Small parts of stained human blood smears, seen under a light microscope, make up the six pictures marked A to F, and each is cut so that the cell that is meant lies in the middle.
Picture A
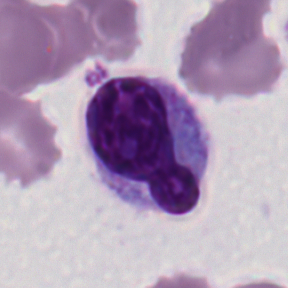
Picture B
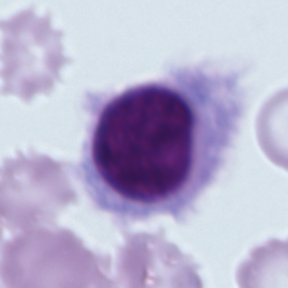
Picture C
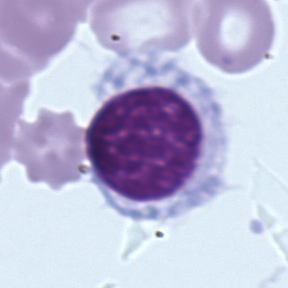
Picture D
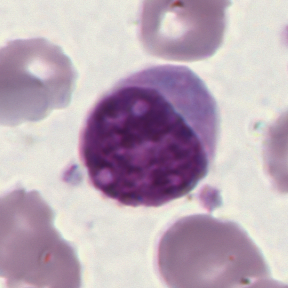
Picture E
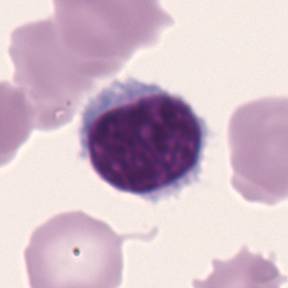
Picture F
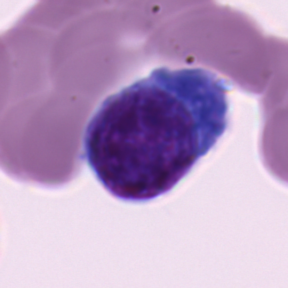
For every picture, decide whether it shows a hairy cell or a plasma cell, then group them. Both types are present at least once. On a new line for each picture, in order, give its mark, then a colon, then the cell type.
A: plasma cell
B: hairy cell
C: hairy cell
D: plasma cell
E: hairy cell
F: plasma cell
